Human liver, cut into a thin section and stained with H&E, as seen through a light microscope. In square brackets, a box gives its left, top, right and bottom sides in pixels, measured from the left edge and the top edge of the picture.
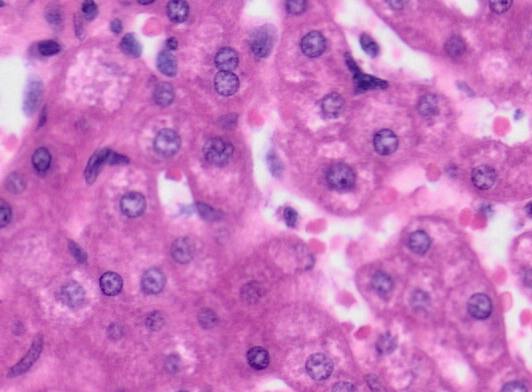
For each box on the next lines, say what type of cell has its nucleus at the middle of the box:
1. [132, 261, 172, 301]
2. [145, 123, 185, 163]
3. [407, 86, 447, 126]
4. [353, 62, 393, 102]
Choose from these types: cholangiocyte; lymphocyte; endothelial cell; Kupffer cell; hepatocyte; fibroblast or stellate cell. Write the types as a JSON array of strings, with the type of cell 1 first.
["hepatocyte", "hepatocyte", "hepatocyte", "fibroblast or stellate cell"]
